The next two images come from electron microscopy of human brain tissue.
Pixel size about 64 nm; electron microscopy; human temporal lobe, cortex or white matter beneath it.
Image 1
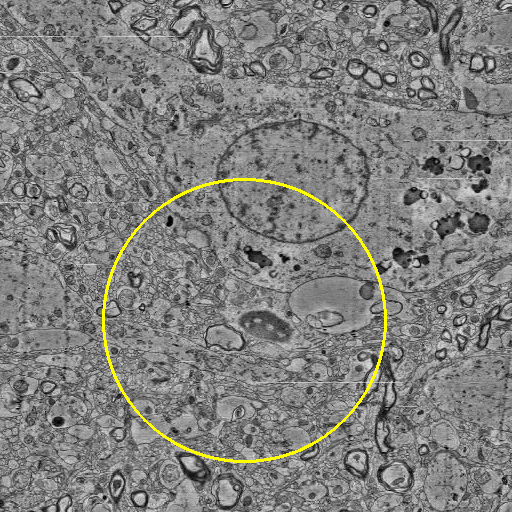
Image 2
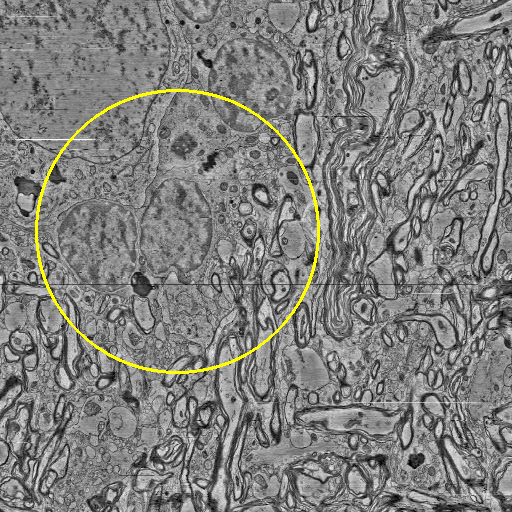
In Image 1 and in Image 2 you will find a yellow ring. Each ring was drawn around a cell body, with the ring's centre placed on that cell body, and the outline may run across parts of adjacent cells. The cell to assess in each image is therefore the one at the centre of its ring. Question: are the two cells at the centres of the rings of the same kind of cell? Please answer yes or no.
no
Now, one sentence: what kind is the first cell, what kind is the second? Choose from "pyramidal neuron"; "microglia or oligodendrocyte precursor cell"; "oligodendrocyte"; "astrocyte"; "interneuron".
The first picture has a microglial cell or oligodendrocyte precursor cell at its ring centre, and the second has an oligodendrocyte.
